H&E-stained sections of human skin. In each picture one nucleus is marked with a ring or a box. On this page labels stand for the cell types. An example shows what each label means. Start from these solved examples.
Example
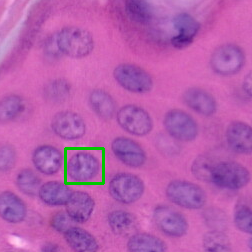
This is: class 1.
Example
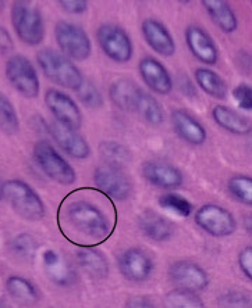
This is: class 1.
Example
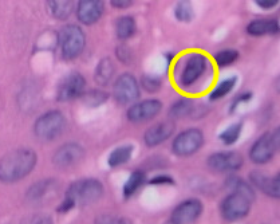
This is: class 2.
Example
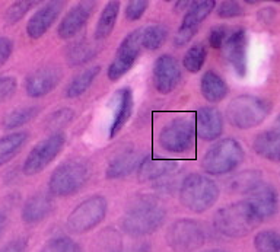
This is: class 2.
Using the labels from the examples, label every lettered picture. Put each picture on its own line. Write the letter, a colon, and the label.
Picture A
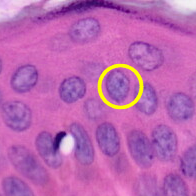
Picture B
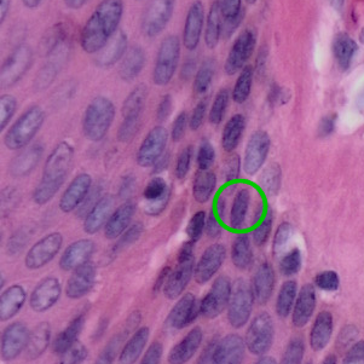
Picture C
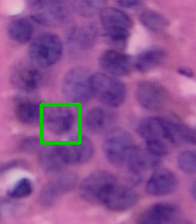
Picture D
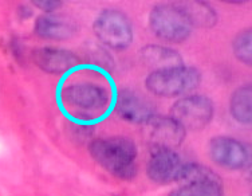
A: class 1.
B: class 2.
C: class 2.
D: class 2.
